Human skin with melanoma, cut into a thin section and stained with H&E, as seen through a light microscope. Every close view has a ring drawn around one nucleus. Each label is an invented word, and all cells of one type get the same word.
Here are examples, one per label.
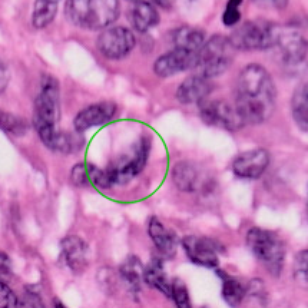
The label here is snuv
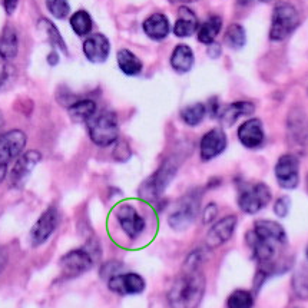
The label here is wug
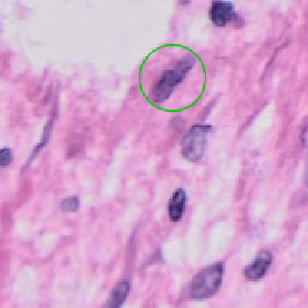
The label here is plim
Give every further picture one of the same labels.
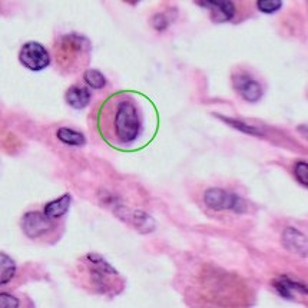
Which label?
plim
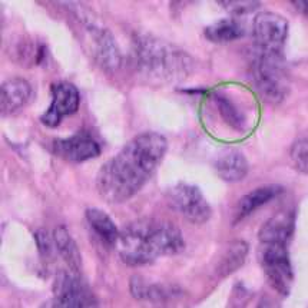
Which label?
snuv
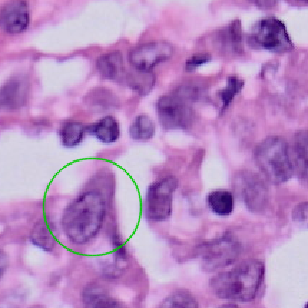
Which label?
snuv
